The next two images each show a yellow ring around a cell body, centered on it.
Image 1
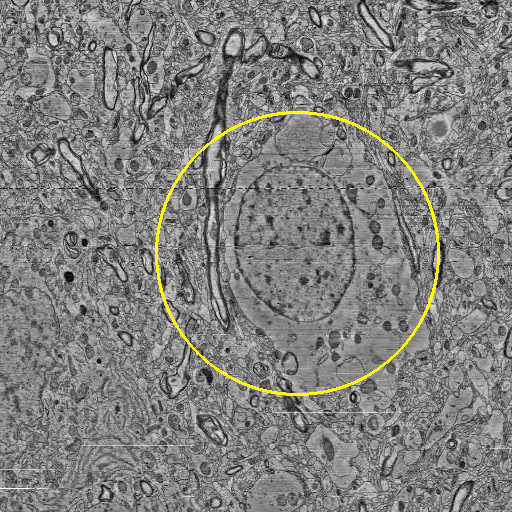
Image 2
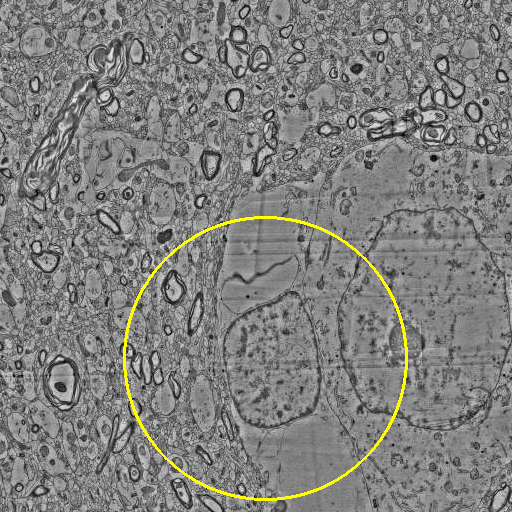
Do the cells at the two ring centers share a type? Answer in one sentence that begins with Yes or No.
Yes, across the two images the cells at the ring centers share one type.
